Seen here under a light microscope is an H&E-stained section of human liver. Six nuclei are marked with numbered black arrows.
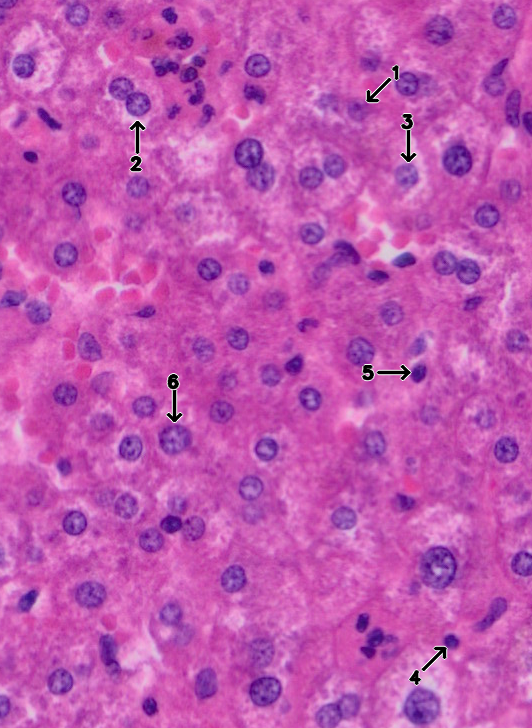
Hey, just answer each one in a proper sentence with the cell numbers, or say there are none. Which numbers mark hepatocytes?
So, the cells with numbers 1, 2, 3 and 6 are hepatocytes.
